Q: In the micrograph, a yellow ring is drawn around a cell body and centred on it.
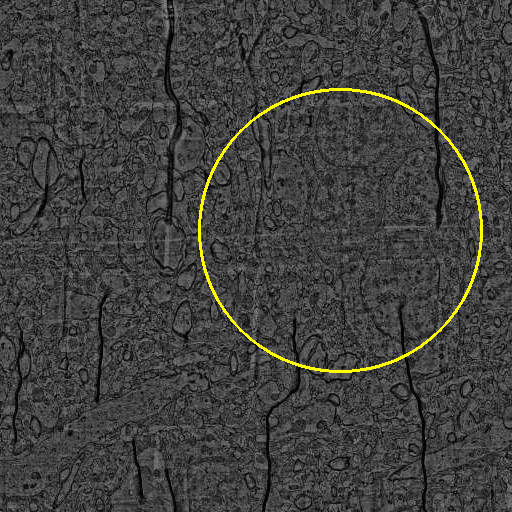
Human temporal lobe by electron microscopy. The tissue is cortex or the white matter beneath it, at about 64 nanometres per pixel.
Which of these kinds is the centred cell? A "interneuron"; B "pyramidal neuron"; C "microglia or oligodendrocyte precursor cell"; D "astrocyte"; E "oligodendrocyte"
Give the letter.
E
